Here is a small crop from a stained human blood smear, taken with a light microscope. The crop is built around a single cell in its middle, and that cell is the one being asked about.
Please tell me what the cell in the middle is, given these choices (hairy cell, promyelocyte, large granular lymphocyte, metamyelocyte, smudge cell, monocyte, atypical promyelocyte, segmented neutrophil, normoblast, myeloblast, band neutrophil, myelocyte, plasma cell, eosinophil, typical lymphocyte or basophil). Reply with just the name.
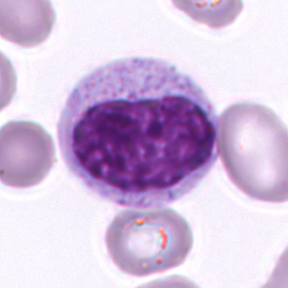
metamyelocyte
